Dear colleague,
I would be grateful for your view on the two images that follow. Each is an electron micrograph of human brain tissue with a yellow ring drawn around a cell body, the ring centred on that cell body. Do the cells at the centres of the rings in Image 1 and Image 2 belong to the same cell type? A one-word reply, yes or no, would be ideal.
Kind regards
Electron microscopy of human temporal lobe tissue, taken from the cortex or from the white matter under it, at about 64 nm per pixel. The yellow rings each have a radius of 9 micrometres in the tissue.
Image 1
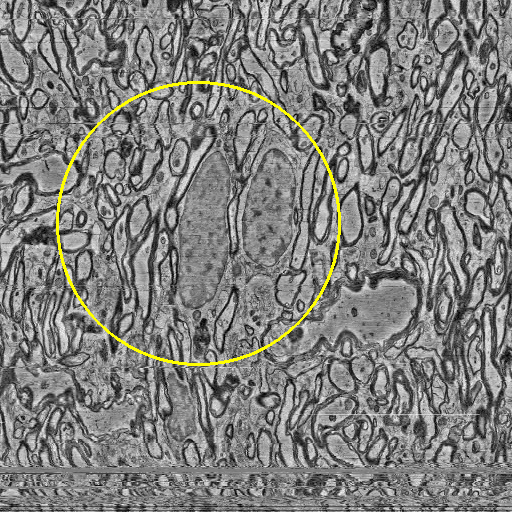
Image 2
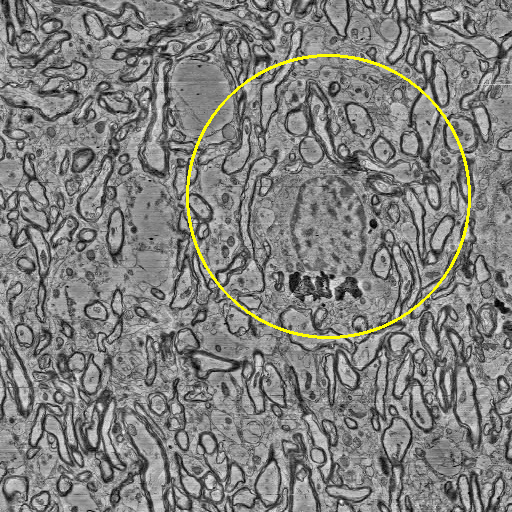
yes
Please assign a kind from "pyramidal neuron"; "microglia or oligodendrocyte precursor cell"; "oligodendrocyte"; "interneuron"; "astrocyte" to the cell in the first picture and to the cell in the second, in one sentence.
Each cell, in the first picture and the second, is an oligodendrocyte.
